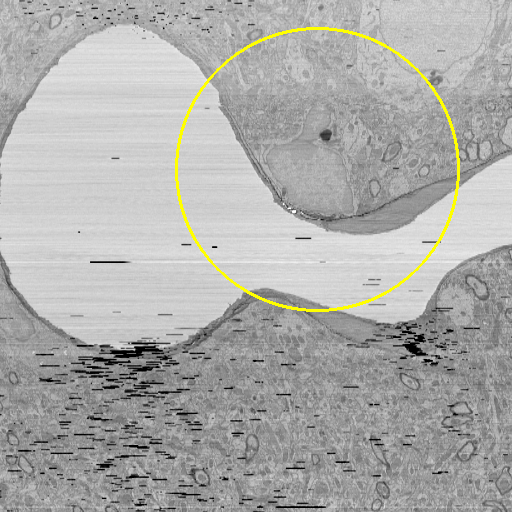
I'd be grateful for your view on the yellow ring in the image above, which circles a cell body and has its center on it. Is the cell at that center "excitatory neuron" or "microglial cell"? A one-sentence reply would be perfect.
The cell at the center of the yellow ring is a microglial cell.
